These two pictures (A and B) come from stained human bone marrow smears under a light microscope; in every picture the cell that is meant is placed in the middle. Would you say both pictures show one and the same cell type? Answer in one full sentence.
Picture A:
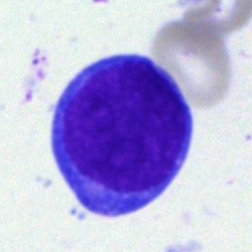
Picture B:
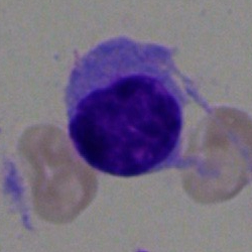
No, picture A shows a blast and picture B shows a hairy cell.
